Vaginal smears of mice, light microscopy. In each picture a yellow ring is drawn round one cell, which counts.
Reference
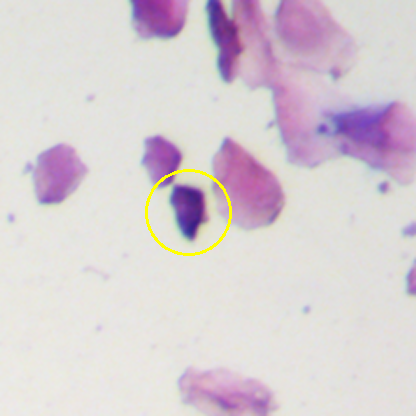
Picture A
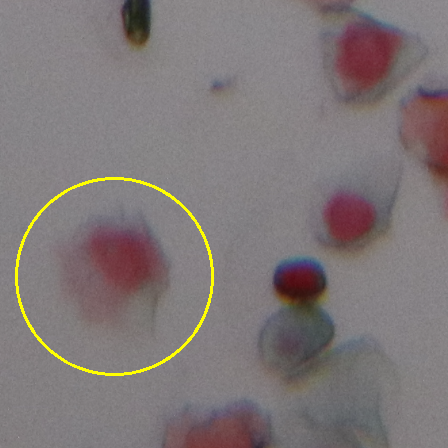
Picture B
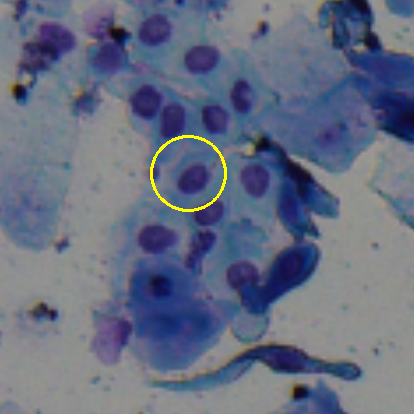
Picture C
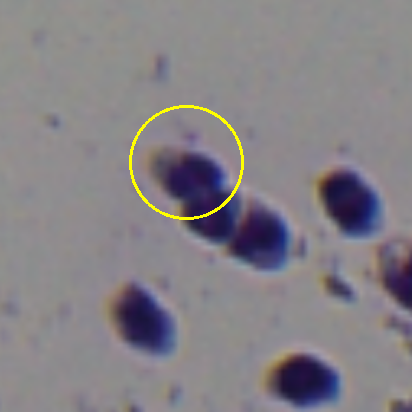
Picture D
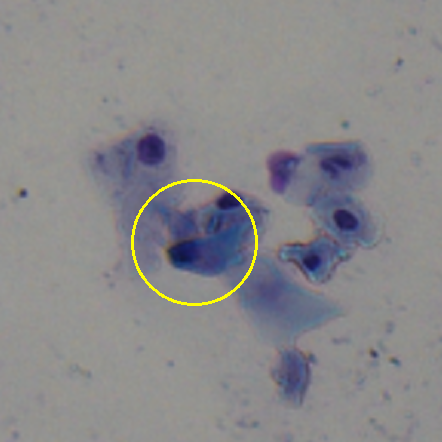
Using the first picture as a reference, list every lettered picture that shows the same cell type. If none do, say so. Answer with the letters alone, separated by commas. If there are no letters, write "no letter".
no letter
